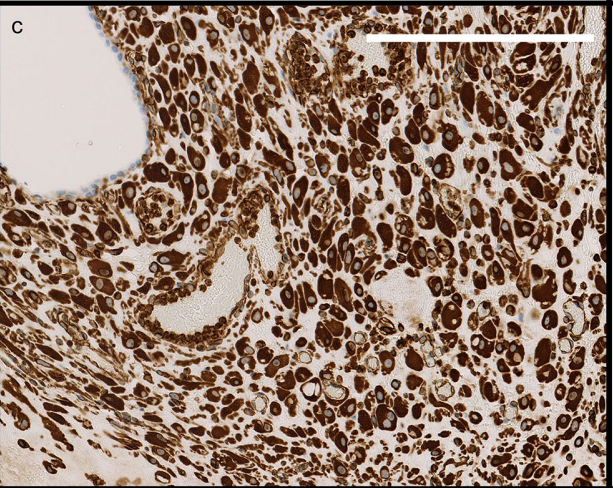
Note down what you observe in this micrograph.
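The cells are rounded to polygonal, some elongated, and lie densely packed between small vessels and a large empty space at the upper left, which is lined by flat cells with blue nuclei. Many cells show a paler central nucleus within the brown cytoplasm. Toward the lower left the cells become spindle-shaped and lie in parallel streams.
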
